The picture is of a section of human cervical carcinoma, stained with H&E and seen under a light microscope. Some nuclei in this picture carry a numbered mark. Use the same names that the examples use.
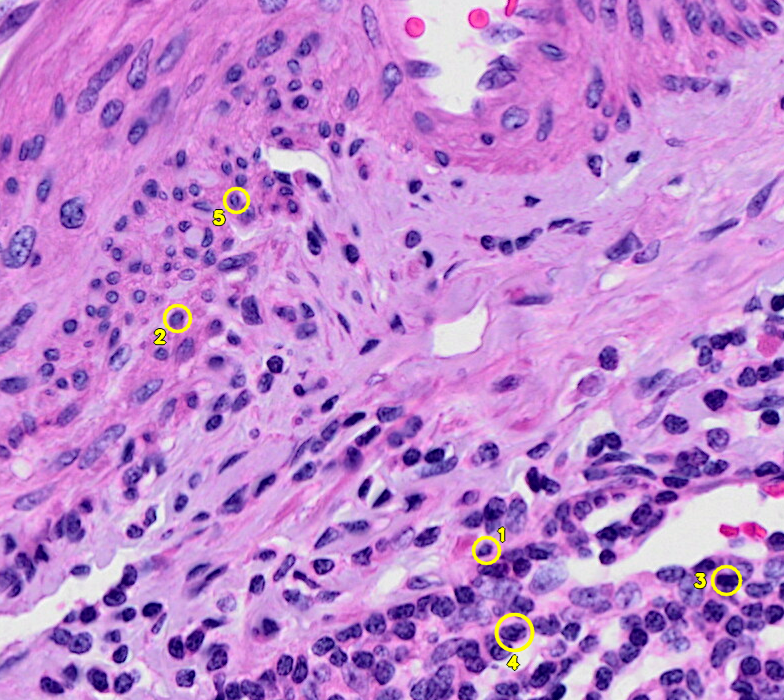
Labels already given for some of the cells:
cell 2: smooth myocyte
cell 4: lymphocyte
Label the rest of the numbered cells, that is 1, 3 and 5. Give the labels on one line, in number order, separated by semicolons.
lymphocyte; lymphocyte; smooth myocyte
